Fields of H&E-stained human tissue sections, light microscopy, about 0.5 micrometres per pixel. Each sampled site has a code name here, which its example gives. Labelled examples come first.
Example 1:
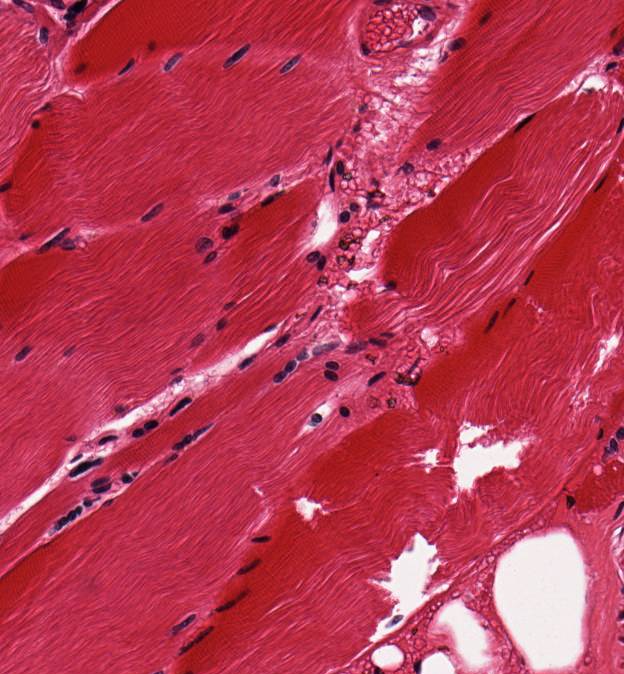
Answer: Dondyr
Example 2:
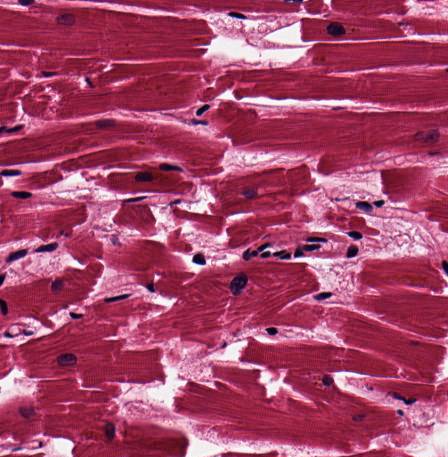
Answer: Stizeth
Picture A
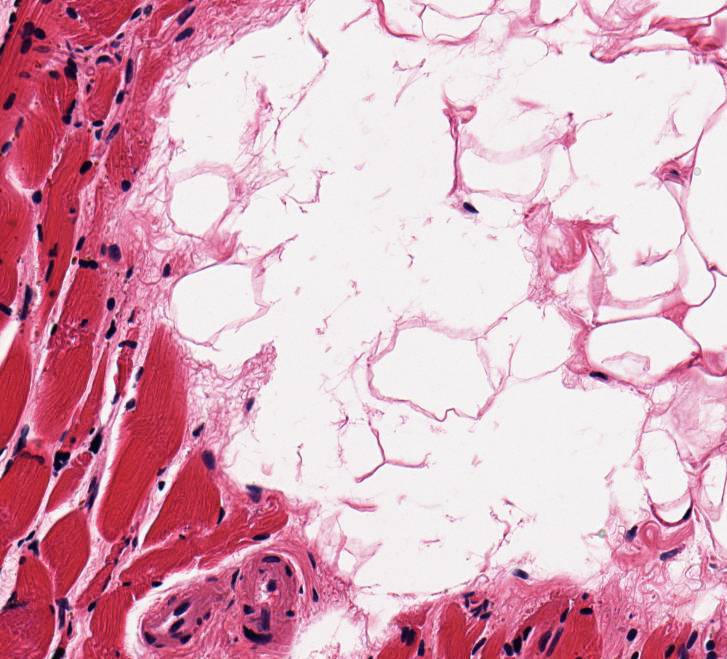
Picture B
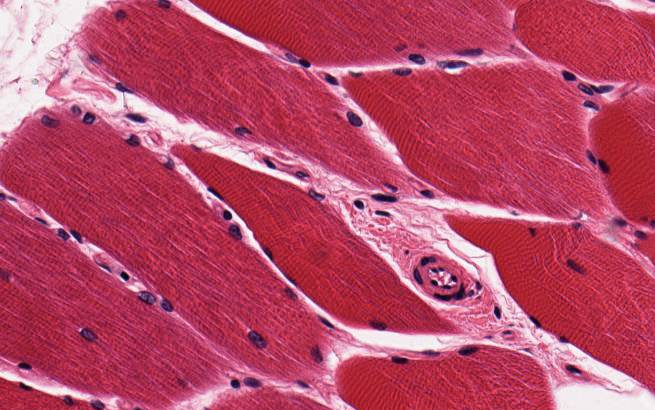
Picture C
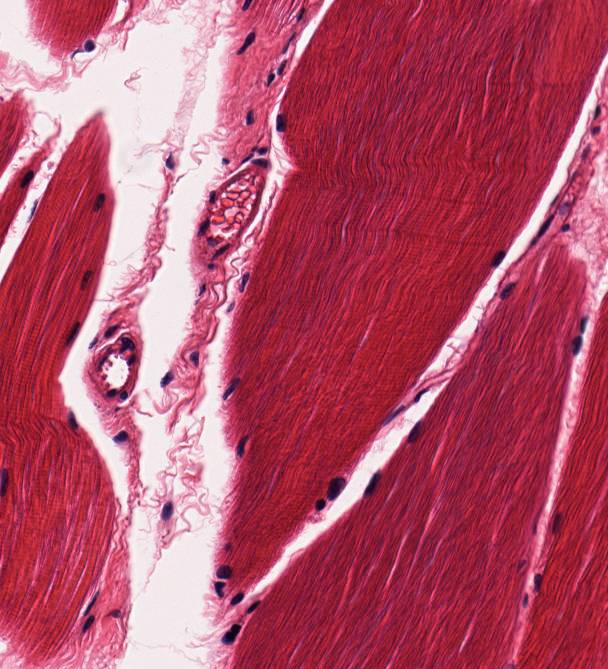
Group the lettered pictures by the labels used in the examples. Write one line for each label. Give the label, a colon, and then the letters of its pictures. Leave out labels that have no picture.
Dondyr: A, B, C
